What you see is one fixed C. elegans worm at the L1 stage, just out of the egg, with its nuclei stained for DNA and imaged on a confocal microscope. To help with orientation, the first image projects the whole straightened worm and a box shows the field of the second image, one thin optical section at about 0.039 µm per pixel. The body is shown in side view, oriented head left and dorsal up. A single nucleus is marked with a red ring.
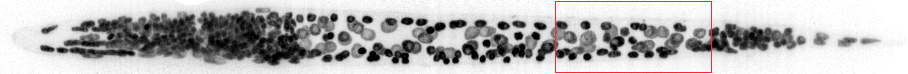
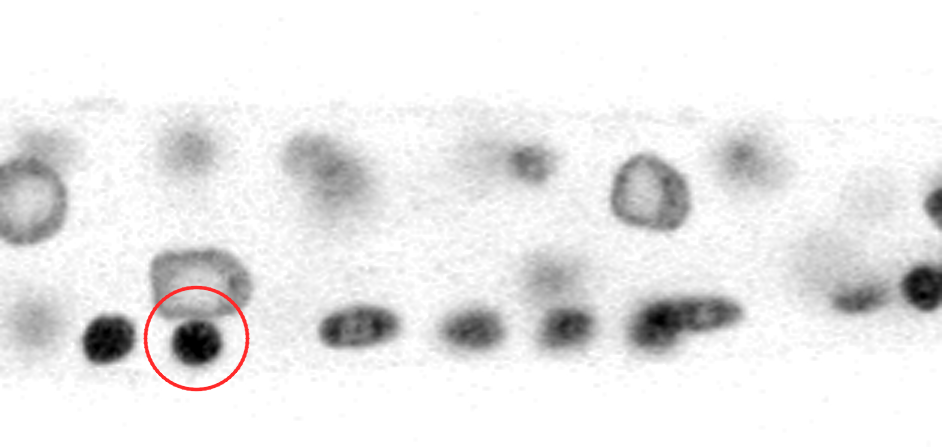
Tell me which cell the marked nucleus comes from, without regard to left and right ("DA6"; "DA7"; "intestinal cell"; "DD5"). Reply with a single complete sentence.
It is the nucleus of DA6, a neuron.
